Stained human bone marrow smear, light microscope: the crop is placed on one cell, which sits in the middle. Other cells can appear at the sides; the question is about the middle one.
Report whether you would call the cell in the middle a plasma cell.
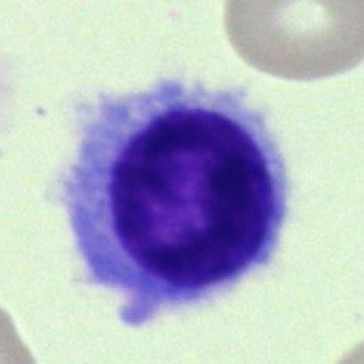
no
